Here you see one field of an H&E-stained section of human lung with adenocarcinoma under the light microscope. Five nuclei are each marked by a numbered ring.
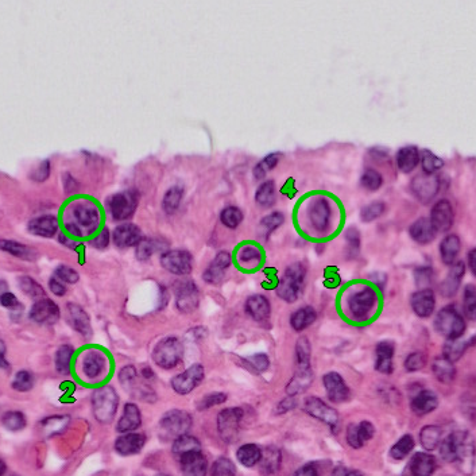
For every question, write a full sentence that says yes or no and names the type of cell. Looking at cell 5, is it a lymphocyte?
No, cell 5 represents a plasma cell rather than a lymphocyte.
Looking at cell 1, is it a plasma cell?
No, cell 1 should be classed as a lymphocyte, not as a plasma cell.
